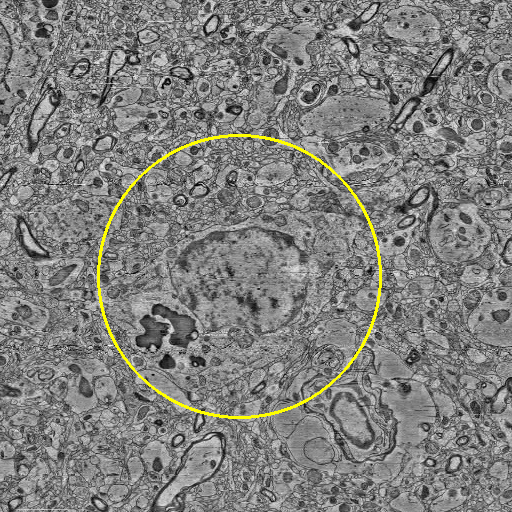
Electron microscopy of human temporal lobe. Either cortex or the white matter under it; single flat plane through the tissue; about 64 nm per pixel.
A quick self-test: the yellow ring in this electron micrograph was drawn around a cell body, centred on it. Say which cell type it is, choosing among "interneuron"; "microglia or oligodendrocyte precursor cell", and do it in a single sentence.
The yellow-ringed cell is an interneuron.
